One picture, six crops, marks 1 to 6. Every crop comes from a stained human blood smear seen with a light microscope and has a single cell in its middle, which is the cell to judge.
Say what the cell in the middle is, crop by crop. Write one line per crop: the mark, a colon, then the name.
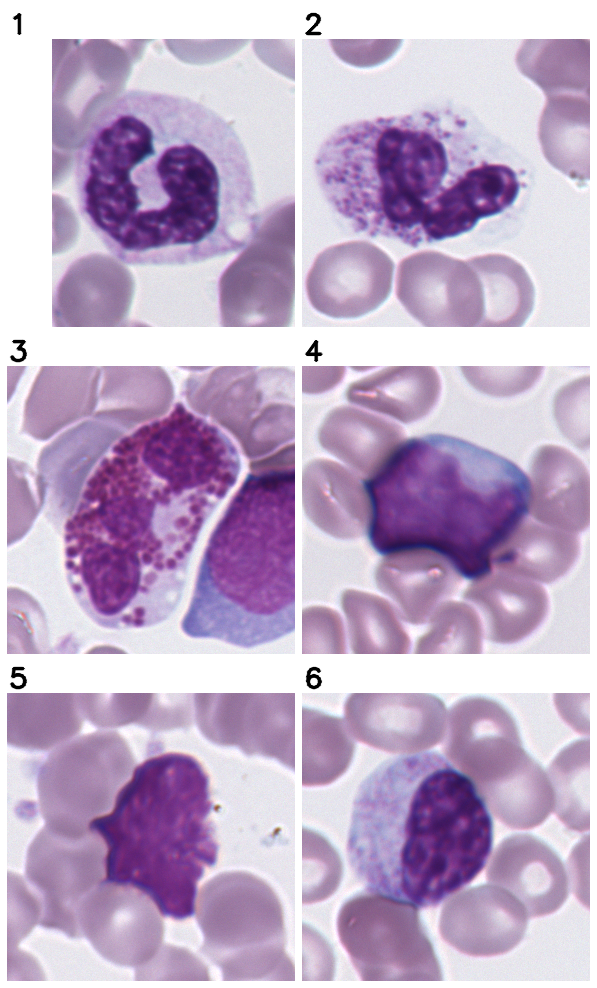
1: band neutrophil
2: segmented neutrophil
3: eosinophil
4: myeloblast
5: smudge cell
6: metamyelocyte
